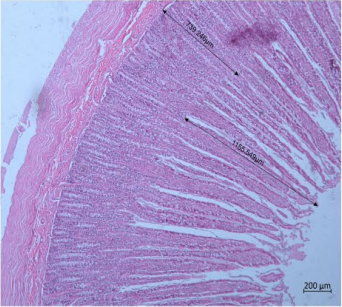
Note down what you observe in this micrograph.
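Low-power section of small intestinal wall showing the mucosa with long, slender villi radiating toward a central lumen and a compact basal zone of crypts. The outer wall is a band of pale pink muscle layers. Above it, the mucosa is densely packed and purple, with closely set glandular crypts. The villi are tall, narrow, parallel projections separated by thin white clefts, each lined by purple-stained epithelium with a pinker core. Their tips fray into the lumen at the lower right. Individual cells are not resolved at this magnification; a few darker purple patches lie within the mucosa.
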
